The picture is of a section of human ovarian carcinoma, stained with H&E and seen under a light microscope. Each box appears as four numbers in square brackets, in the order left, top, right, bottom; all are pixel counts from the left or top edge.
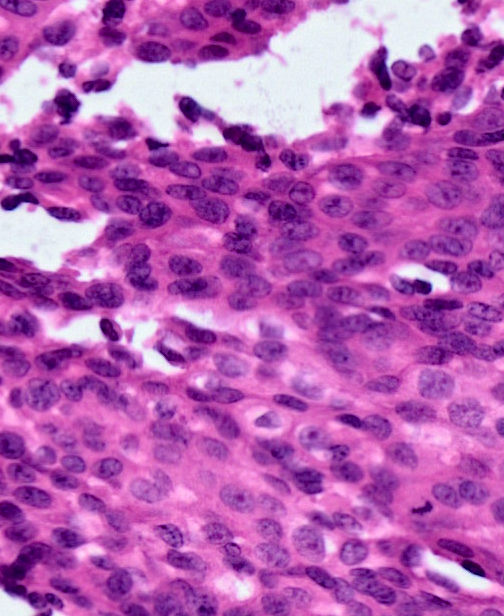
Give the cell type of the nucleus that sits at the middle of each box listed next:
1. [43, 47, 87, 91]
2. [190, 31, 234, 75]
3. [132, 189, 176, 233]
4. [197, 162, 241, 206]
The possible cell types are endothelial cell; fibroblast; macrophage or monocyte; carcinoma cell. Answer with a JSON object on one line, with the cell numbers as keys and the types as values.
{"1": "macrophage or monocyte", "2": "carcinoma cell", "3": "carcinoma cell", "4": "carcinoma cell"}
